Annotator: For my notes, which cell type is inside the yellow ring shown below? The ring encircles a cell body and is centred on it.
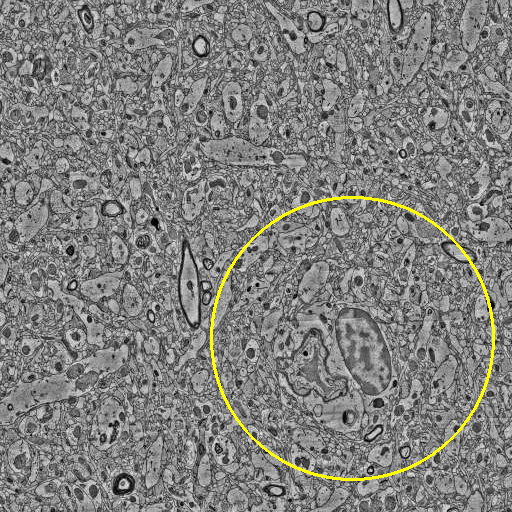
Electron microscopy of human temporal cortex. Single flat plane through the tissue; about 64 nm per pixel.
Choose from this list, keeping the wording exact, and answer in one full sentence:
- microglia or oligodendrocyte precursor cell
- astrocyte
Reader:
At the centre of the yellow ring there is a microglial cell or oligodendrocyte precursor cell, as shown in the picture.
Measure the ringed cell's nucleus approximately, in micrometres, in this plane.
About 6 by 3 micrometres, the nucleus being clearly longer than it is wide in this plane.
